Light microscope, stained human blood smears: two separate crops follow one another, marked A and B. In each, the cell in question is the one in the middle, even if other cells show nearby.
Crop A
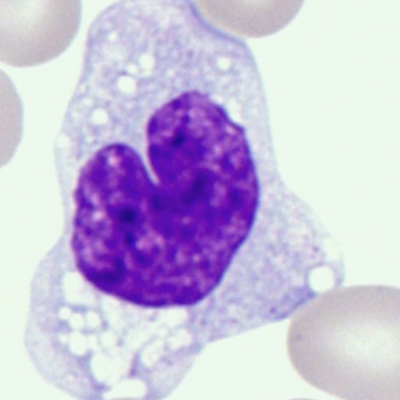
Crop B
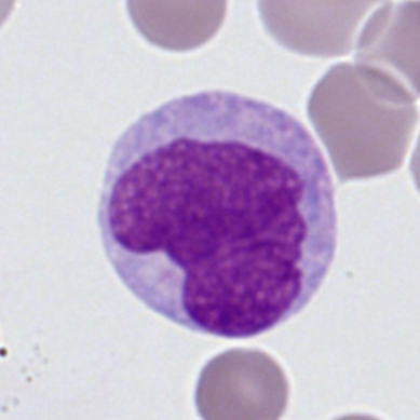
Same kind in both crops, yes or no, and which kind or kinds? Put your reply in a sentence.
Yes, the cells centred in the two crops are both monocytes.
